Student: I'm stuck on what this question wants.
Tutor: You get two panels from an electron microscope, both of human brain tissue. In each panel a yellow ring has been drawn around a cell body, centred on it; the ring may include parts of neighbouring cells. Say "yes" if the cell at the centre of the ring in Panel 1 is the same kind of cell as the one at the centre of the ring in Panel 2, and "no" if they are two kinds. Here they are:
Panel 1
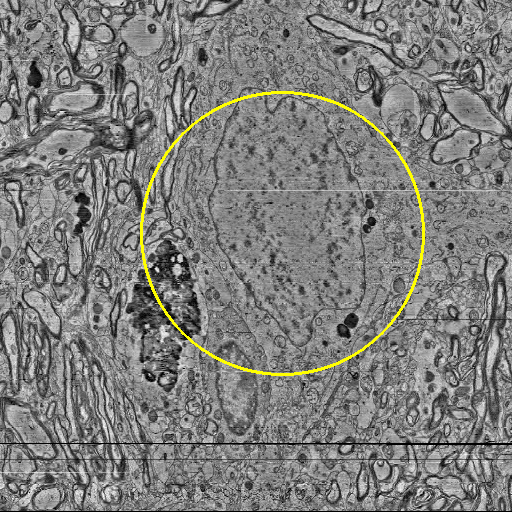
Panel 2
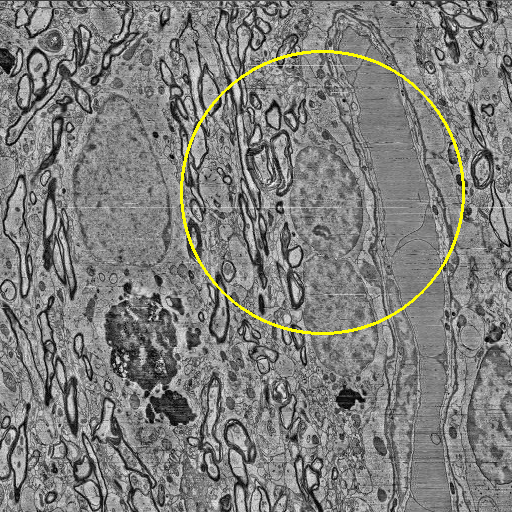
no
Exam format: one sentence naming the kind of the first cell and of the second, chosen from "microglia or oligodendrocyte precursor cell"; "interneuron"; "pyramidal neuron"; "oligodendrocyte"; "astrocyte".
The first picture's cell is a pyramidal neuron, and the second picture's cell is an oligodendrocyte.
